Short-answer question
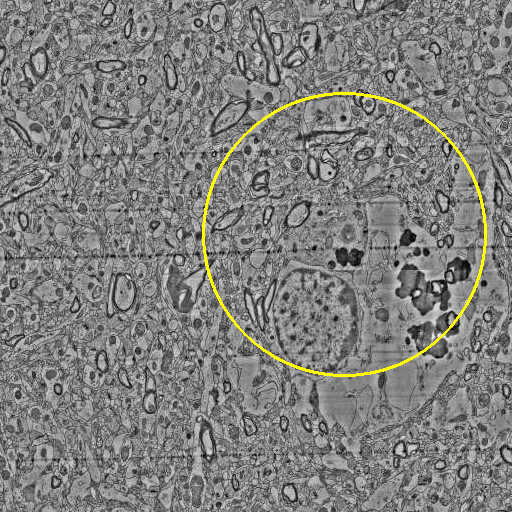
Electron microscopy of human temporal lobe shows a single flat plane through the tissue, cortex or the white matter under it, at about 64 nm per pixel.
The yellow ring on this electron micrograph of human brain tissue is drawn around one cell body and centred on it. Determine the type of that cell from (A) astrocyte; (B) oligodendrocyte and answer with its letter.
B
